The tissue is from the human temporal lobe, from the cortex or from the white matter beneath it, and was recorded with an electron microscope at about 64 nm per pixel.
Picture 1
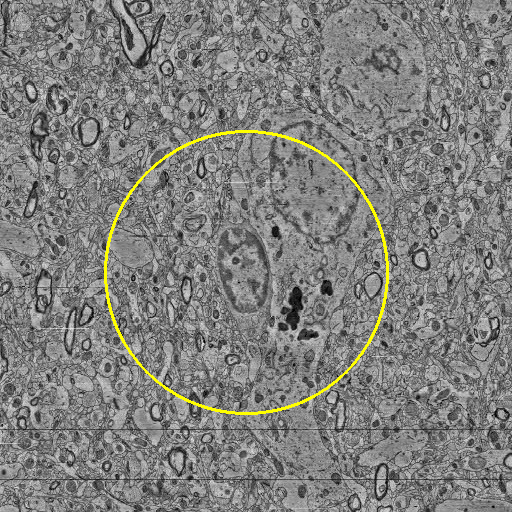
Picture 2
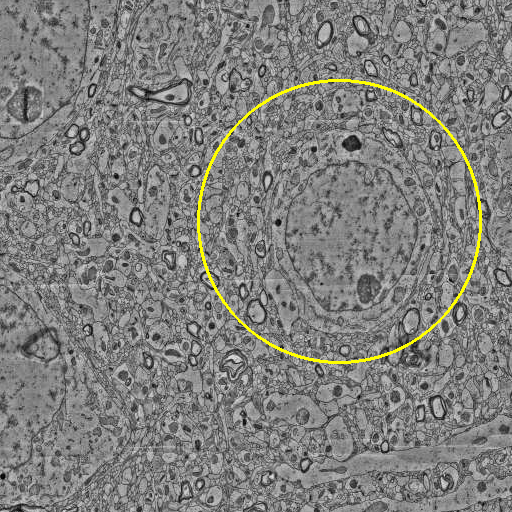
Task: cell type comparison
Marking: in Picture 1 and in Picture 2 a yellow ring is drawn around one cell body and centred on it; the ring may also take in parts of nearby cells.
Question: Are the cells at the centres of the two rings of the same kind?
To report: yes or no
no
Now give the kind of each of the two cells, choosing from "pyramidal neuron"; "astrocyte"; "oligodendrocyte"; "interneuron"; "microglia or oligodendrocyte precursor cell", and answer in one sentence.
The cell in the first picture is an oligodendrocyte, and the cell in the second is a pyramidal neuron.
